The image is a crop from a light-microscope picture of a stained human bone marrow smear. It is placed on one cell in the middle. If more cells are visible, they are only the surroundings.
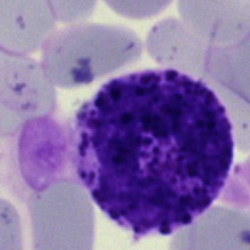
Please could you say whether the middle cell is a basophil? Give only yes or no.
yes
